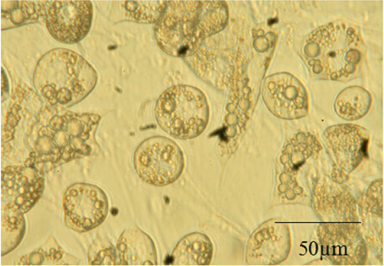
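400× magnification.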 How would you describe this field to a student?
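These are adipocytes, large rounded cells whose cytoplasm is packed with many clear, refractile fat droplets of varying size. Some cells are crowded with small droplets while others hold fewer, larger ones, and flatter spread cells without droplets lie between them.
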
